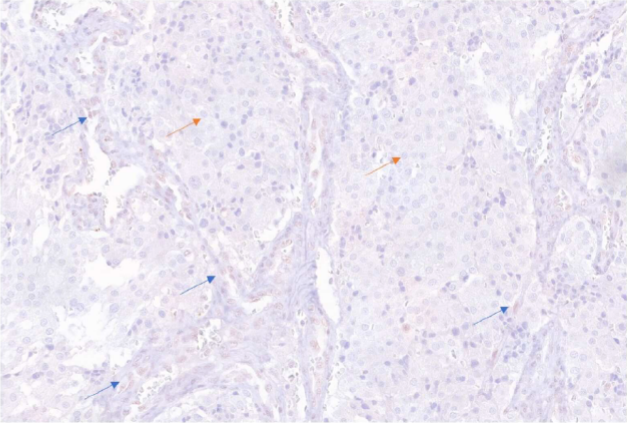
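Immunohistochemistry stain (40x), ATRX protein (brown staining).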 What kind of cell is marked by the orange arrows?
Tumor cells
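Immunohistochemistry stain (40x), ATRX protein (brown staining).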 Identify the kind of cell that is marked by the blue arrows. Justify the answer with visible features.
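The blue arrows point to thin septa running between the cell nests. The cells in these septa have elongated, spindle-shaped nuclei. Small slit-like open spaces lie along the septa. On this evidence: endothelial and stromal cells of vessels.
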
